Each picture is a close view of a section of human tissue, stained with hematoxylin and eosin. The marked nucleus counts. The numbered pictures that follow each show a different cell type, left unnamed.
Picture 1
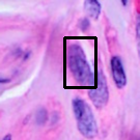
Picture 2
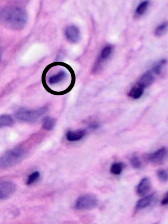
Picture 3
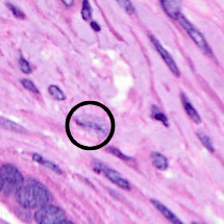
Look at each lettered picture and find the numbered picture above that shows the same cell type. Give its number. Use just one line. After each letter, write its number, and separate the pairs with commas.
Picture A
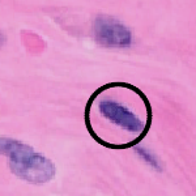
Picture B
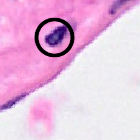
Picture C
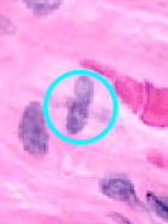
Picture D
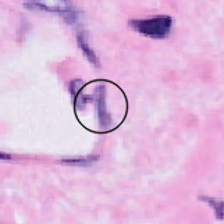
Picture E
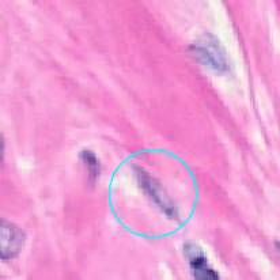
A 2, B 2, C 1, D 1, E 3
